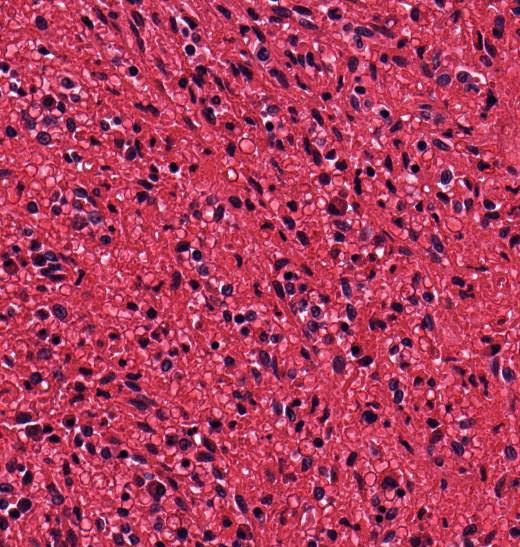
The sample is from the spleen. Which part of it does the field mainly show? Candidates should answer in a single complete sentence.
This histology image has as its subject the part called red pulp.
